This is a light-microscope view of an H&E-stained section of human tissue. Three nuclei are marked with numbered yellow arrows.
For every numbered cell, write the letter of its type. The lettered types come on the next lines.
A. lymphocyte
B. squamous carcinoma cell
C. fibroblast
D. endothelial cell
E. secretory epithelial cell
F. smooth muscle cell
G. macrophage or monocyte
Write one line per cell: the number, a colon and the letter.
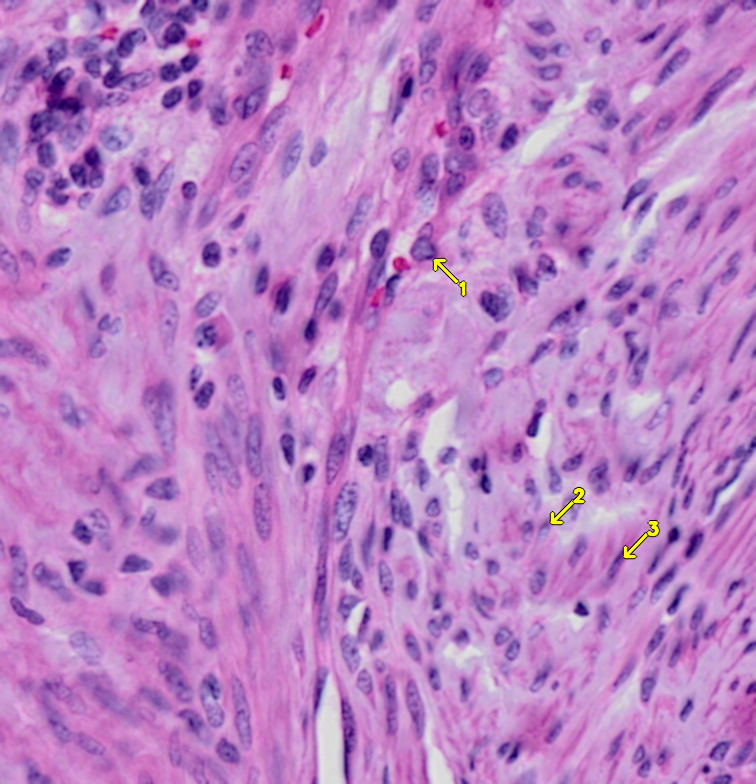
1: D
2: F
3: F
